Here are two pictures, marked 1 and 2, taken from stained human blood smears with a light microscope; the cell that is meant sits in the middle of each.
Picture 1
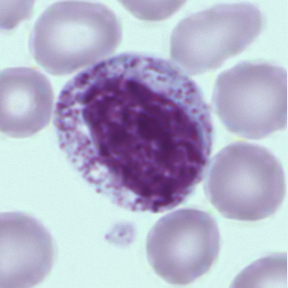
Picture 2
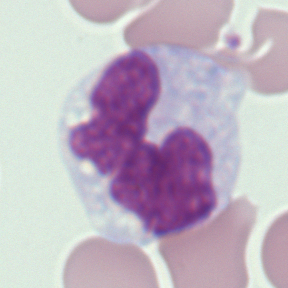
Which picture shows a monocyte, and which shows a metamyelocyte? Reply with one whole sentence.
Picture 1 is of a metamyelocyte, and picture 2 is of a monocyte.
